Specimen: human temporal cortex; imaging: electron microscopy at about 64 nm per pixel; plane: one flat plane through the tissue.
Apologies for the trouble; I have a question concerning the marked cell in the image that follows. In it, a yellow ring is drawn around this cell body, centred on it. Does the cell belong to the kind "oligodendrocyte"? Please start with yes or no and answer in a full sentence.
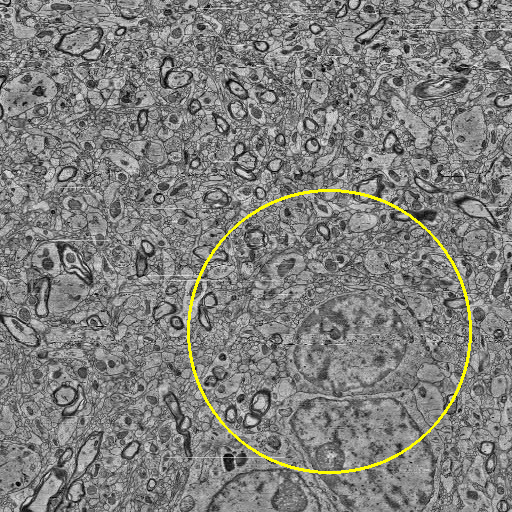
Yes, the cell at the centre of the ring in the picture is of that kind.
